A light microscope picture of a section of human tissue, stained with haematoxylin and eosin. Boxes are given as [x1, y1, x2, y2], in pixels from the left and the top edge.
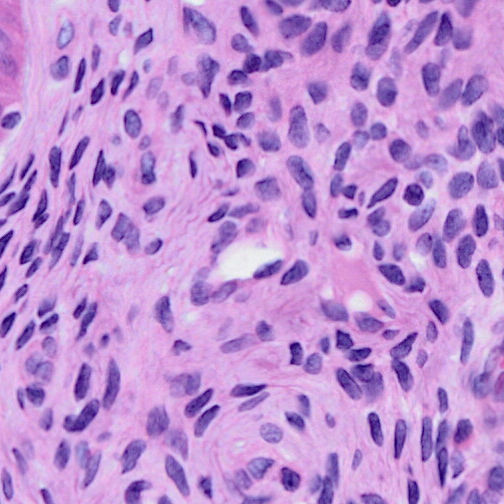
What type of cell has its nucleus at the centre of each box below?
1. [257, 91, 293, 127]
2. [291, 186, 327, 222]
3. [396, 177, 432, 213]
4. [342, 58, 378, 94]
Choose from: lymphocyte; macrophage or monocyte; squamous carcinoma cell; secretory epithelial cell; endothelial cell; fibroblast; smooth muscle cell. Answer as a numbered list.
1. fibroblast
2. fibroblast
3. lymphocyte
4. fibroblast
